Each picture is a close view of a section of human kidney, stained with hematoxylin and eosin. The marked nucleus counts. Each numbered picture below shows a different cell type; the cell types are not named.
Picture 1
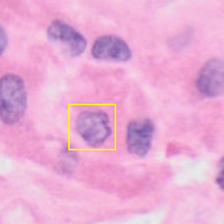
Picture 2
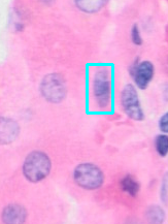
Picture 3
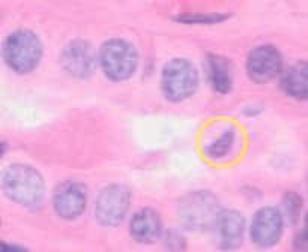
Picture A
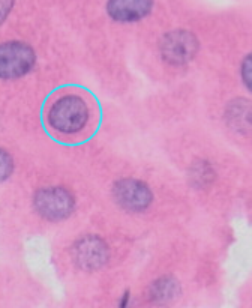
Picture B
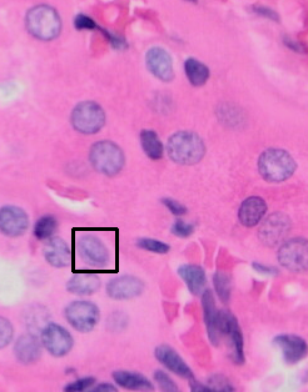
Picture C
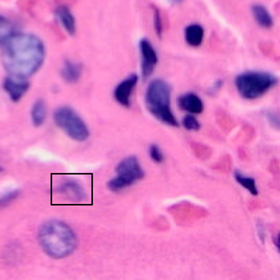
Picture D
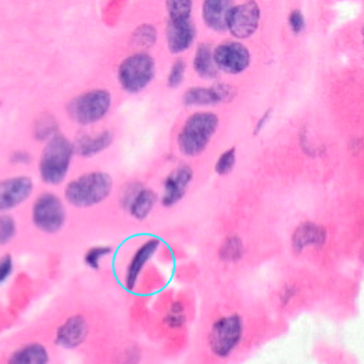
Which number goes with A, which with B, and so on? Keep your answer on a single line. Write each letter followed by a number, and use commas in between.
A 1, B 3, C 3, D 2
